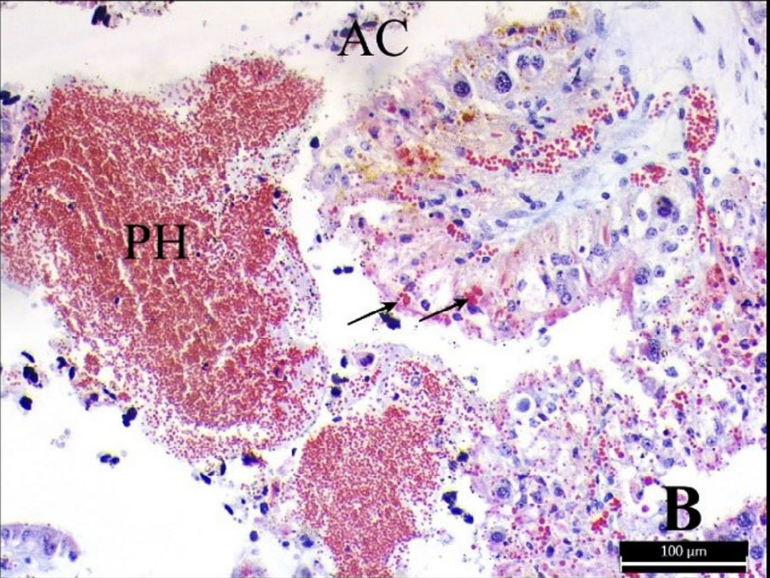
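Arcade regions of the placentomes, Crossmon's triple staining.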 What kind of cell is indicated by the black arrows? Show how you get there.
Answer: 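The arrows point to small red bodies within the cytoplasm of cells lining the cavity. These bodies match the red colour of the large pooled blood mass beside them. On this evidence: erythrocyte.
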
